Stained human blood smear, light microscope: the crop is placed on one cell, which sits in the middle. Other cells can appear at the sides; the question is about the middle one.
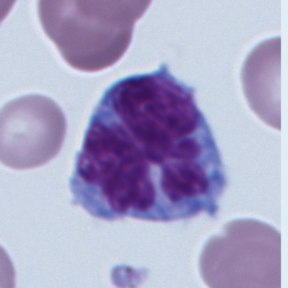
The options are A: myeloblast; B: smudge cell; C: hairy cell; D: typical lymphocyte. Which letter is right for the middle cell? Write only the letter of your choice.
A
